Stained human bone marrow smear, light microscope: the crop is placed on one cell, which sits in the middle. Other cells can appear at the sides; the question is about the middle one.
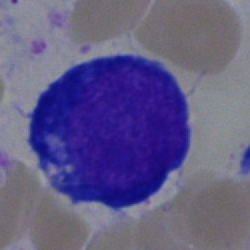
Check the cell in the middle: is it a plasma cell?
no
